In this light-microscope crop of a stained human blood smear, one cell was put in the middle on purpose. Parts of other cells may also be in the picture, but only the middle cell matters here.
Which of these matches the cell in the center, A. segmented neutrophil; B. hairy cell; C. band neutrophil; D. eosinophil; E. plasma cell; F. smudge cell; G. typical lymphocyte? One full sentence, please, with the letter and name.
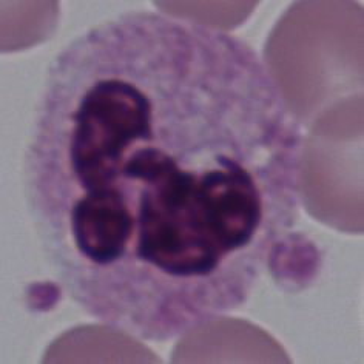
Option A is correct in naming the middle cell a segmented neutrophil.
